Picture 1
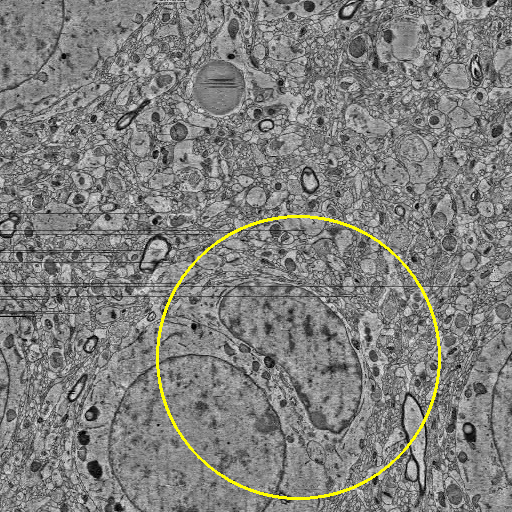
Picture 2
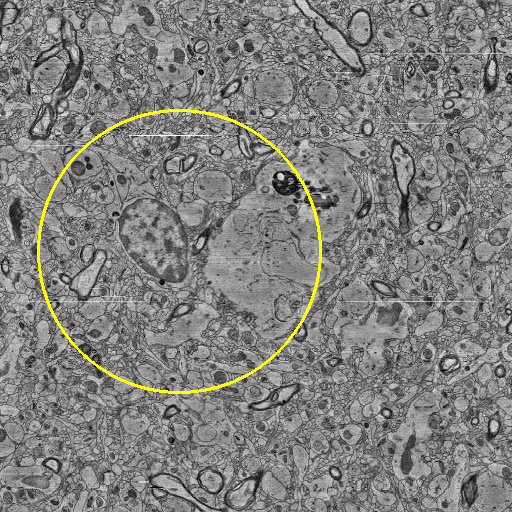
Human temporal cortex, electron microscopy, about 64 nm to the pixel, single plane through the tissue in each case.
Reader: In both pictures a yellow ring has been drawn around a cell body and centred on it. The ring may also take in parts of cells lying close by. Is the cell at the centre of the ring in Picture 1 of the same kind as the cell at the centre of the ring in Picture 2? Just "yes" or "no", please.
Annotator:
yes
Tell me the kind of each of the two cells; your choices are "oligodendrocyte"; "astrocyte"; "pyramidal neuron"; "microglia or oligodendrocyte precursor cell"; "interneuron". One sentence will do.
Each of the two rings is centred on a microglial cell or oligodendrocyte precursor cell.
